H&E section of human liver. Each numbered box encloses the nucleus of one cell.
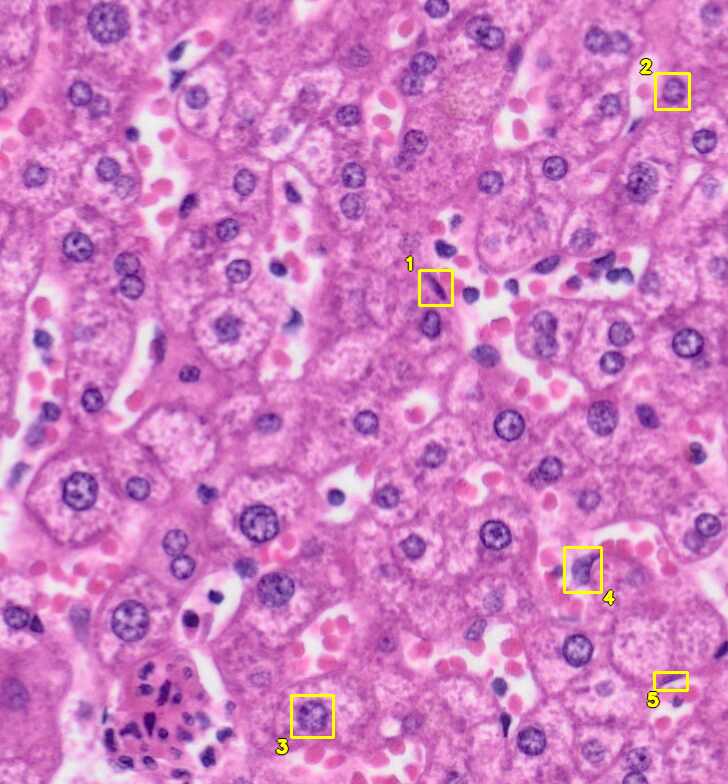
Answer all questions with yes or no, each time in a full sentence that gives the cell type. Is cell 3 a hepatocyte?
Yes, the one numbered 3 is a hepatocyte.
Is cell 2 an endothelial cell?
No, cell 2 is not an endothelial cell; a hepatocyte is correct.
